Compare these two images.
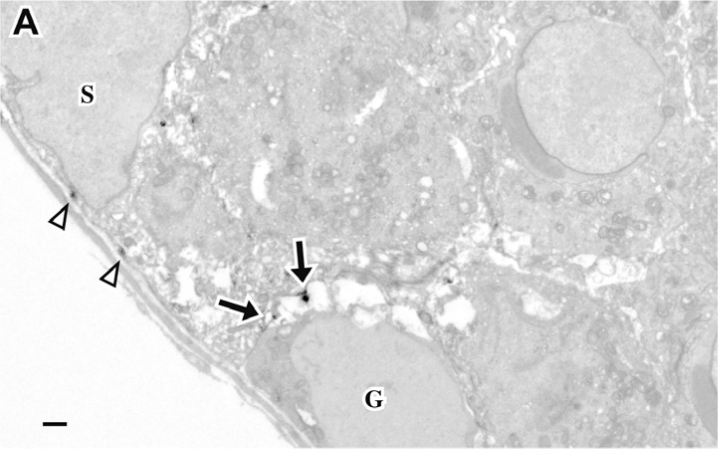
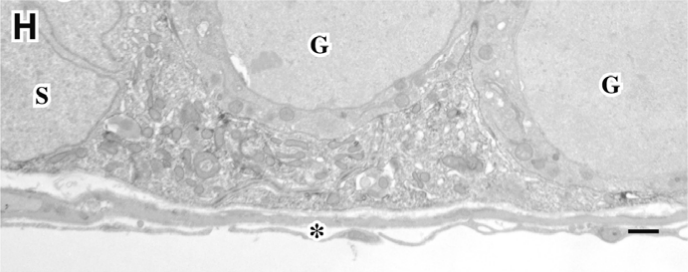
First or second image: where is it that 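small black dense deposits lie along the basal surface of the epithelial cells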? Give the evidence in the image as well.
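First image: small black dots lie along the outer border of the epithelium and between cells near the base.
Answer: the first image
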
